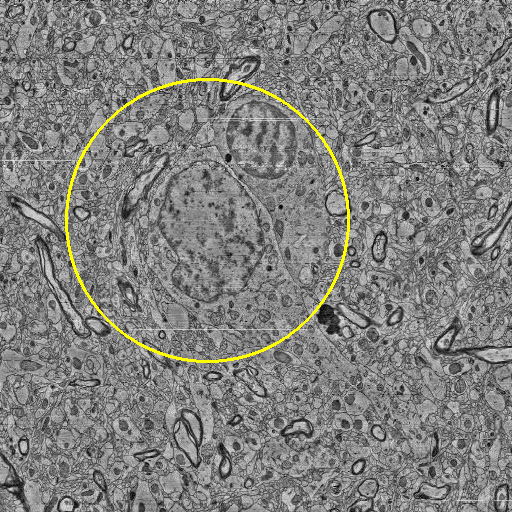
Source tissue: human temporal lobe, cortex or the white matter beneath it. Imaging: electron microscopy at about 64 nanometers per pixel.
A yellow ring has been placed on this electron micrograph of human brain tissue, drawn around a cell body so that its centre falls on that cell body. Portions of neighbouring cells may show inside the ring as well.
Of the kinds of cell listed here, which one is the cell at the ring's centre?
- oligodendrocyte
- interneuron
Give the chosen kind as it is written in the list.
interneuron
